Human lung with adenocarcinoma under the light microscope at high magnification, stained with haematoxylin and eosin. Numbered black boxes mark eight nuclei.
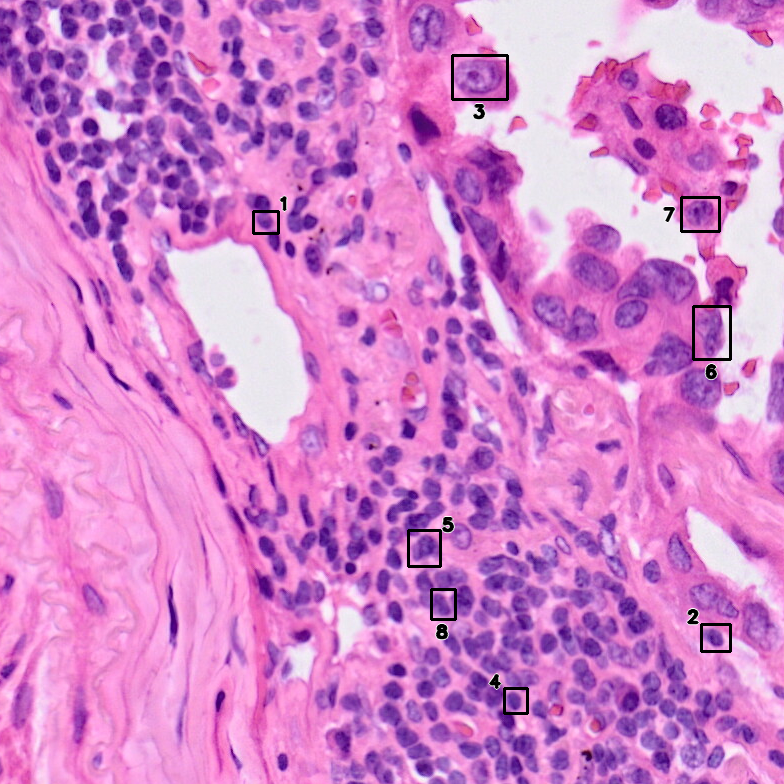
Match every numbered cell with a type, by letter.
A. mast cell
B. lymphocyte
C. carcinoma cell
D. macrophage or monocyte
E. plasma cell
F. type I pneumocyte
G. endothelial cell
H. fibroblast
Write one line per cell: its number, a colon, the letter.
1: B
2: B
3: C
4: B
5: B
6: C
7: D
8: B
